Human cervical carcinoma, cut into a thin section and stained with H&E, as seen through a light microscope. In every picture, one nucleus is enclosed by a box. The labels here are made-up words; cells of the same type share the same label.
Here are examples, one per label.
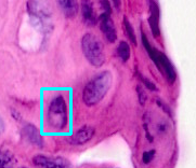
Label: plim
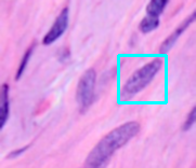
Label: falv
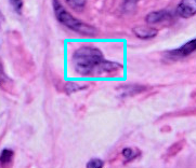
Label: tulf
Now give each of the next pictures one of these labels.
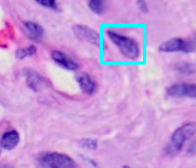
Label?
falv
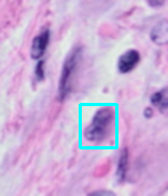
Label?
tulf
